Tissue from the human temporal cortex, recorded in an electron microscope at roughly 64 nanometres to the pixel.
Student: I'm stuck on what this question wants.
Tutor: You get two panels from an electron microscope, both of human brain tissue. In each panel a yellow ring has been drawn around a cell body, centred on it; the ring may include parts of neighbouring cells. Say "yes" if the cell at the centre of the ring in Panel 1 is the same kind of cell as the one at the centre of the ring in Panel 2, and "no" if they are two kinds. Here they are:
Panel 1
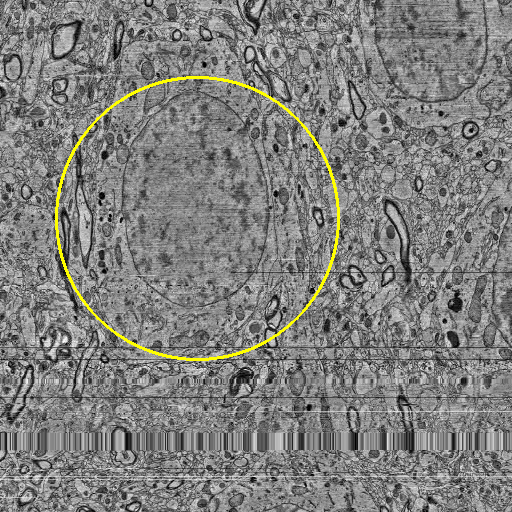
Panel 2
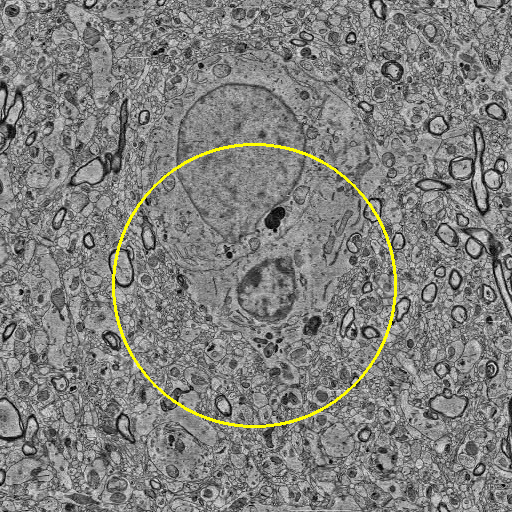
no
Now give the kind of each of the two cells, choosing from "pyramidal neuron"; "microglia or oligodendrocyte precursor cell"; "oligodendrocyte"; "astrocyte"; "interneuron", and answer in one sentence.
The cell in the first picture is a pyramidal neuron, and the cell in the second is a microglial cell or oligodendrocyte precursor cell.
